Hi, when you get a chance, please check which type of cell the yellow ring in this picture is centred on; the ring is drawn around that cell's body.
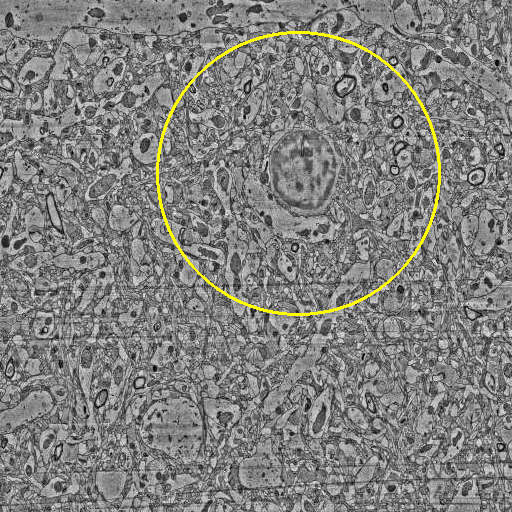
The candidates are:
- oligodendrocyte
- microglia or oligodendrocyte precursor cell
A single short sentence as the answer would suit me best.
The ring is drawn around the body of an oligodendrocyte.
